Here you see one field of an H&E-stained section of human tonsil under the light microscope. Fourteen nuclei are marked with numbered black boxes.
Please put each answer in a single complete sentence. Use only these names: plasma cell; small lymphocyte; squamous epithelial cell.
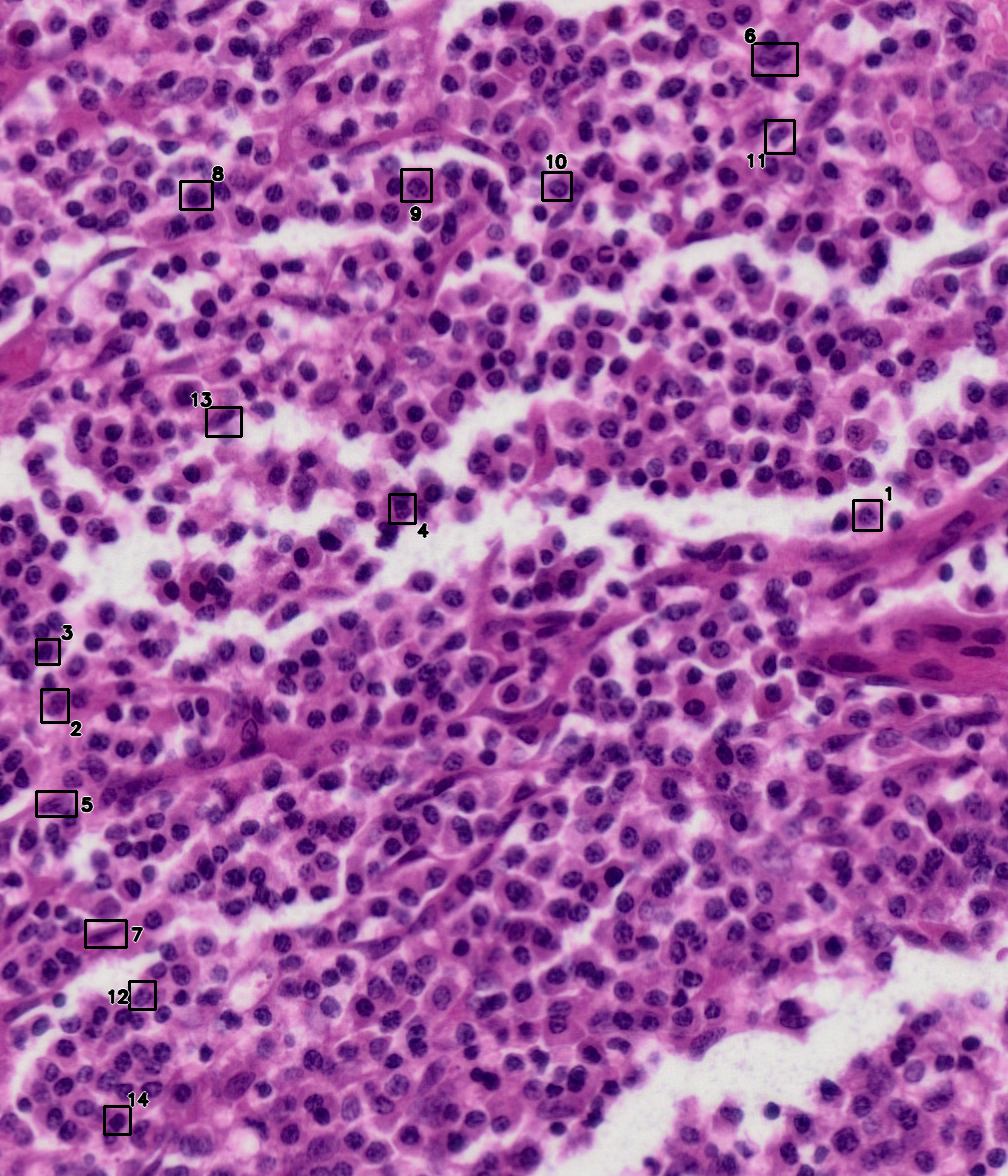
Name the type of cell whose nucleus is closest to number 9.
The cell nearest to number 9 is a plasma cell.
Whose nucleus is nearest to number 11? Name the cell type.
The nearest nucleus to number 11 belongs to a squamous epithelial cell.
